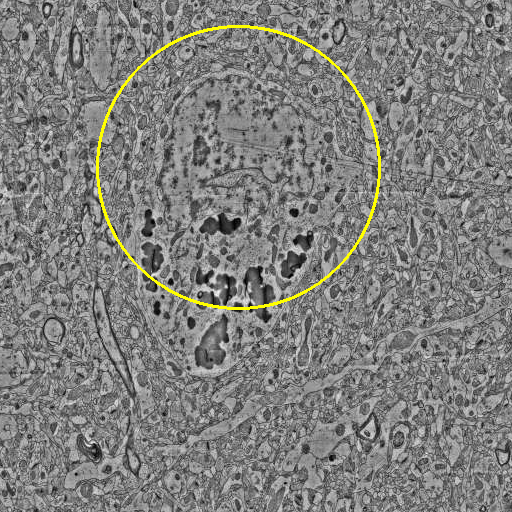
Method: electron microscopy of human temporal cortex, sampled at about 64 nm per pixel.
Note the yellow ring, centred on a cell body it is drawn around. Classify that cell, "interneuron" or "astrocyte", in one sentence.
The cell the ring is centred on is an interneuron.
